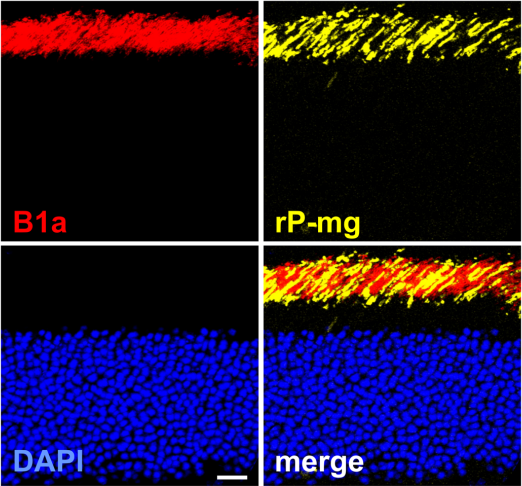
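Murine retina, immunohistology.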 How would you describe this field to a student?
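A thick layer of tightly packed round blue nuclei fills the lower part, and above it lies a dense band of thin, slanted, rod-like profiles in red that is also yellow where the two overlap in the merged image. This arrangement of a crowded nuclear layer beneath a continuous palisade of slender segments fits rod photoreceptors, the red and yellow band being their outer segments.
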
